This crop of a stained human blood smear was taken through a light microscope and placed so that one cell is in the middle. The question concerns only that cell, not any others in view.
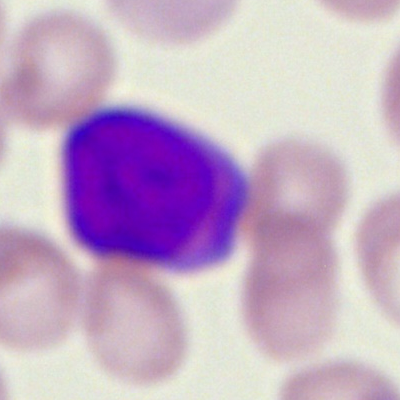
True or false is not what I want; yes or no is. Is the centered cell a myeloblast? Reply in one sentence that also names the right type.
Yes, the cell in the centre is a myeloblast.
